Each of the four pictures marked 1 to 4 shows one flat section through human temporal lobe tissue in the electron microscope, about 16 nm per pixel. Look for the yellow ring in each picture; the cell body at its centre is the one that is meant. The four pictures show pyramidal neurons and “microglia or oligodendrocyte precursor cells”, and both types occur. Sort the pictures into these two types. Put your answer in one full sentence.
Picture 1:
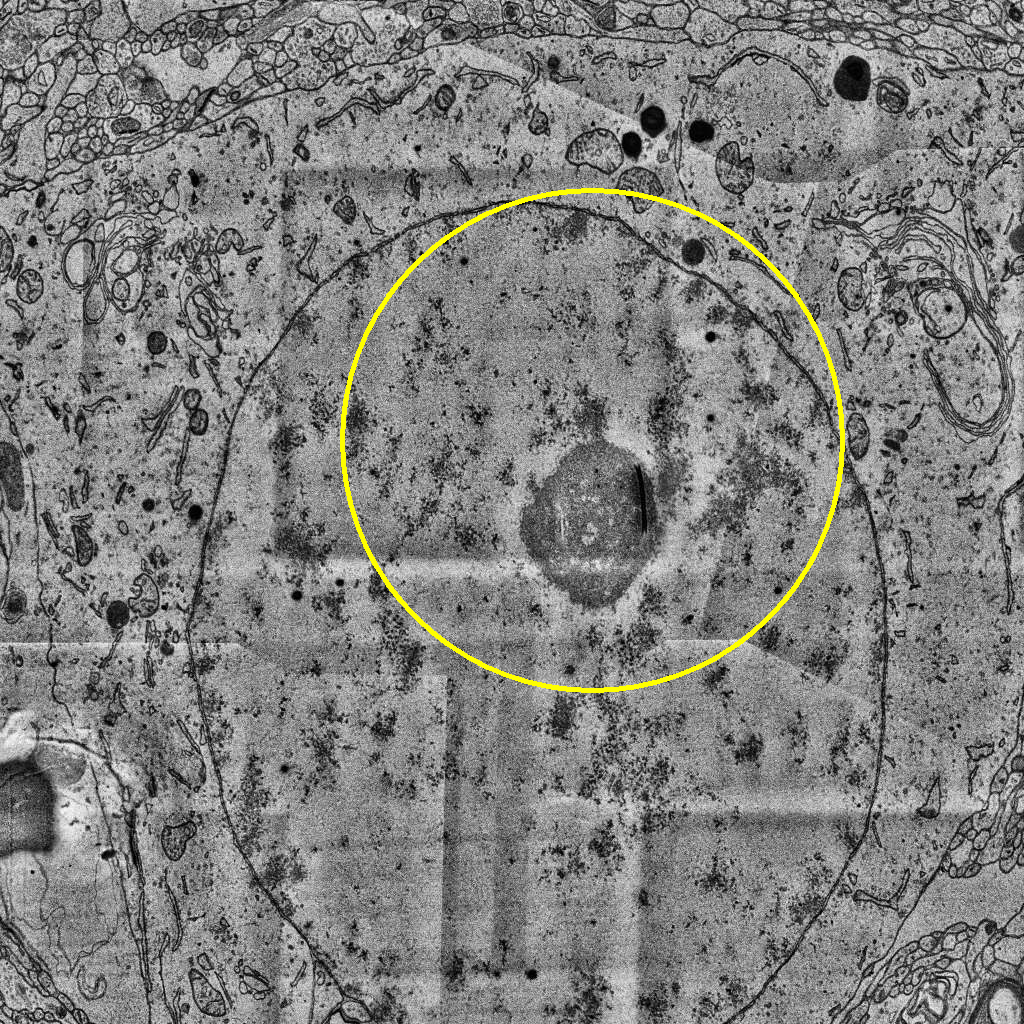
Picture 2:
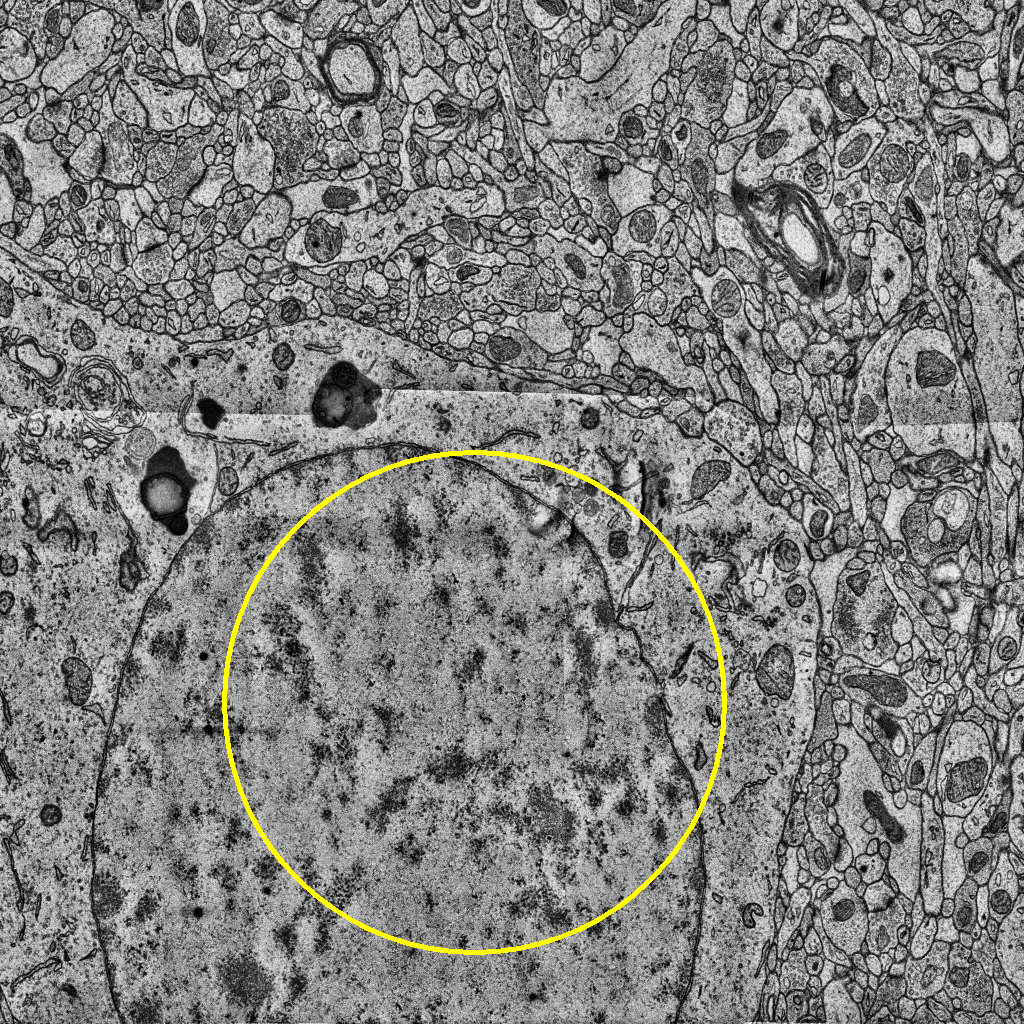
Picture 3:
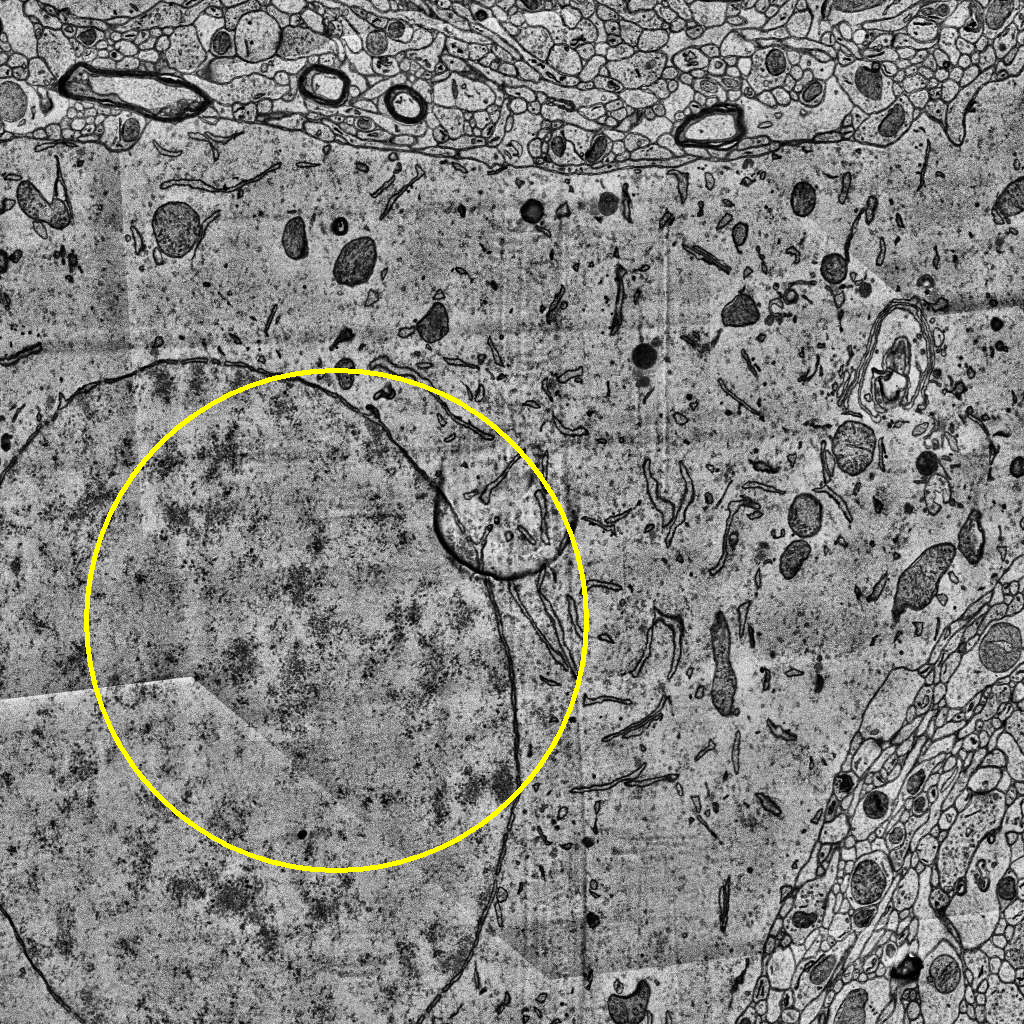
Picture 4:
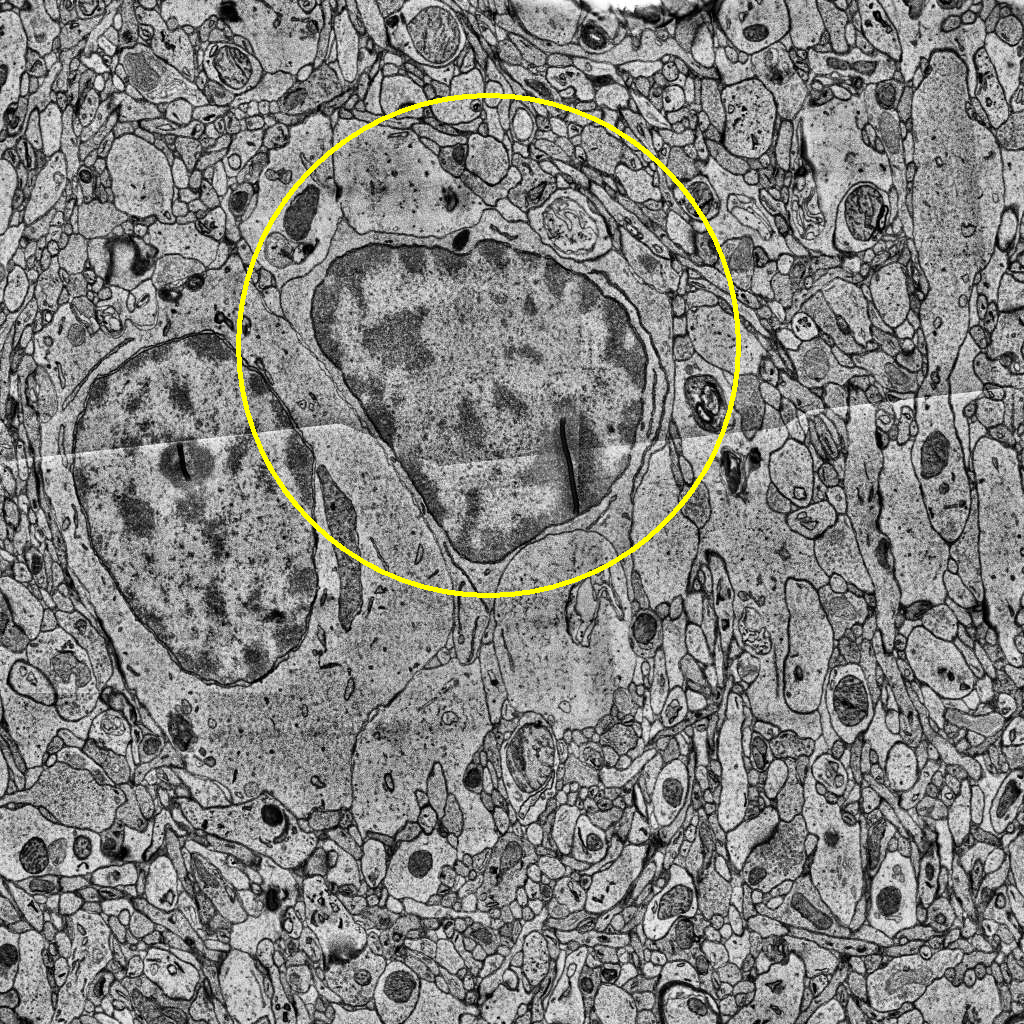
Pictures 1, 2 and 3 show pyramidal neurons; picture 4 shows a “microglia or oligodendrocyte precursor cell”.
